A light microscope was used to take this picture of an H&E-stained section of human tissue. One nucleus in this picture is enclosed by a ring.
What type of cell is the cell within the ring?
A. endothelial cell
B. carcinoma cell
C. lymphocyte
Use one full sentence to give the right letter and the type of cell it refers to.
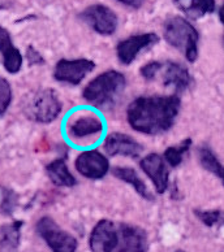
Here the cell within the ring is a carcinoma cell, which makes option B correct.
